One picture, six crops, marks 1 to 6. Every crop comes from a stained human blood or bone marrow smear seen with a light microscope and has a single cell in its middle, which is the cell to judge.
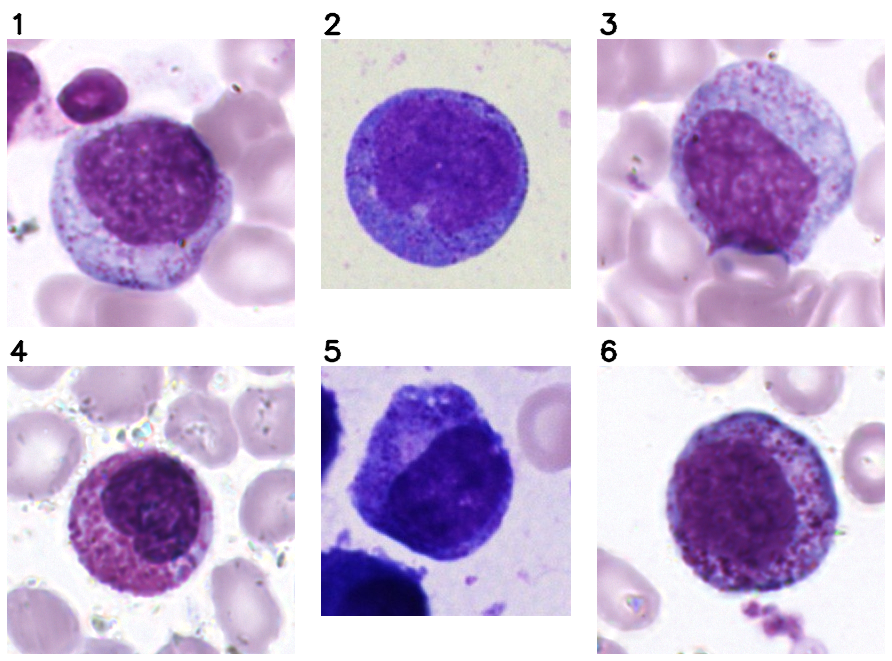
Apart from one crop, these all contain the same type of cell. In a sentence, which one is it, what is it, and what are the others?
The central cell of crop 4 is an eosinophil, while the other crops show promyelocytes.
